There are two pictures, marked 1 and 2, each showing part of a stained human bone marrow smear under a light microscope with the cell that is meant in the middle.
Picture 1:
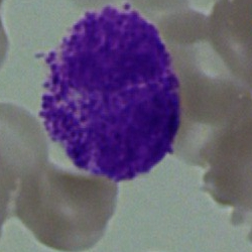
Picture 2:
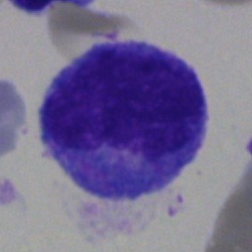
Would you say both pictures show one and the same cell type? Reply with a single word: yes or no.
no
